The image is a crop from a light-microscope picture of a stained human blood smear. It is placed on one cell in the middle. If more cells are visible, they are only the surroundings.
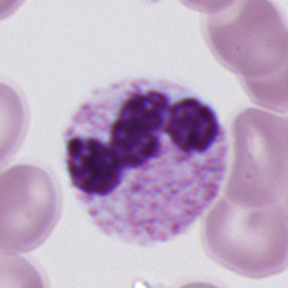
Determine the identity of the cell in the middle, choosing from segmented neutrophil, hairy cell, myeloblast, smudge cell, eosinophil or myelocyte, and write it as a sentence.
The cell at the central position in this crop is a segmented neutrophil.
